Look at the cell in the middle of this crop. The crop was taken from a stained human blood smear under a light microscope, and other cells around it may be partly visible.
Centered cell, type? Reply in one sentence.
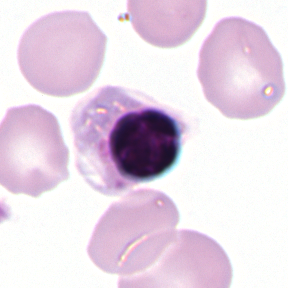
Here the centrally located cell is a normoblast.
